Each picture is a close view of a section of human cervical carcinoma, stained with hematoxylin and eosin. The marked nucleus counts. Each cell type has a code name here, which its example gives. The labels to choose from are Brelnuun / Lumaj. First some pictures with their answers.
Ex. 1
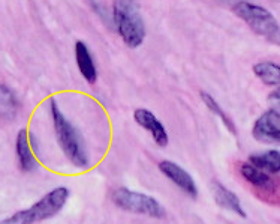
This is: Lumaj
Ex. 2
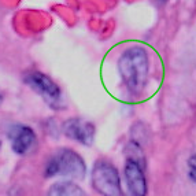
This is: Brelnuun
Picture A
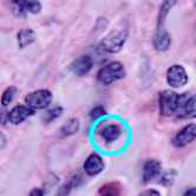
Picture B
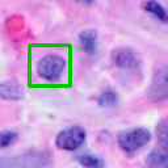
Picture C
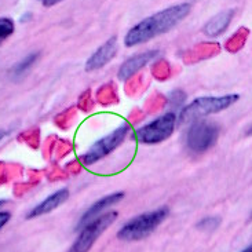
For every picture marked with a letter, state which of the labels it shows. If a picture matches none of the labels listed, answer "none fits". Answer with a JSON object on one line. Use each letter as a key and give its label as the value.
{"A": "none fits", "B": "none fits", "C": "Brelnuun"}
